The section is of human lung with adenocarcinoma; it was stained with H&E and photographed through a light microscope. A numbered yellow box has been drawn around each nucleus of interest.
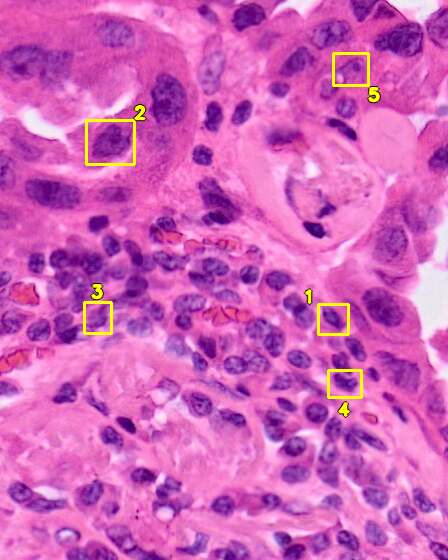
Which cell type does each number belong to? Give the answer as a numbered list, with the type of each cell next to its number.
1. lymphocyte
2. carcinoma cell
3. lymphocyte
4. lymphocyte
5. carcinoma cell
